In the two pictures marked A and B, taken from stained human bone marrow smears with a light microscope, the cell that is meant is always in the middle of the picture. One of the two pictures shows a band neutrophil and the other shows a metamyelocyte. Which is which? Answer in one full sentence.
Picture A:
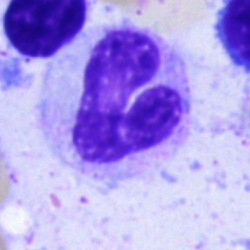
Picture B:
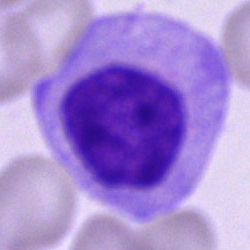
In picture A the cell is a band neutrophil; in picture B, a metamyelocyte.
